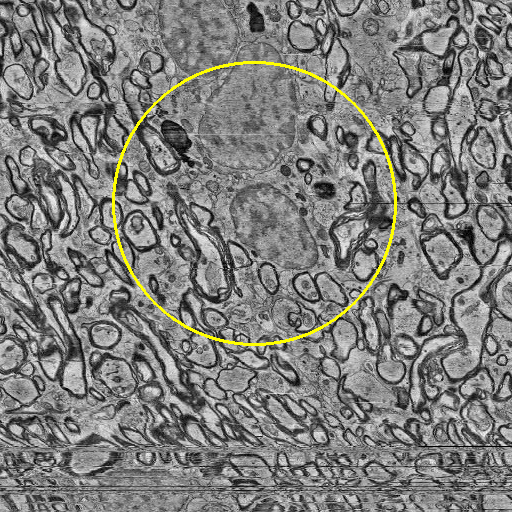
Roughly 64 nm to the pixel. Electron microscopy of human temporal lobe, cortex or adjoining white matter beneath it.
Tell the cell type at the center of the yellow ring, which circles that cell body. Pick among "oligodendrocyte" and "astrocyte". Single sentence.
The ring is centered on the body of an oligodendrocyte.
